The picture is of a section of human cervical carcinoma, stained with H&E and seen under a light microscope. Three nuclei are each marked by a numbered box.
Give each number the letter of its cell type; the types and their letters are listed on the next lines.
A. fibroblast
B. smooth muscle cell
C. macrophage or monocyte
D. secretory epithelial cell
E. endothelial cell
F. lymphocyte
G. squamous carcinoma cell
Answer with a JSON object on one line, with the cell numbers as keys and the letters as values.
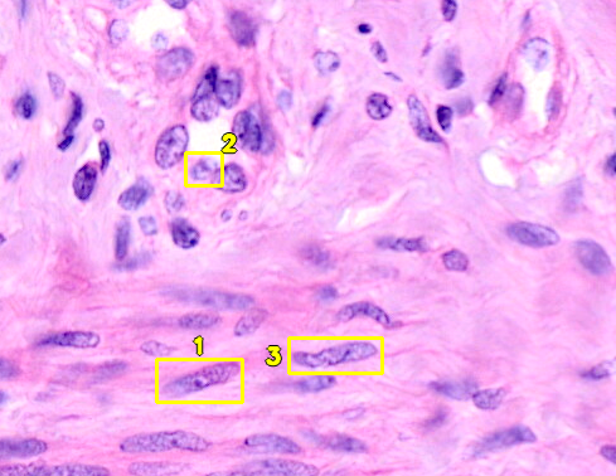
{"1": "B", "2": "E", "3": "B"}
